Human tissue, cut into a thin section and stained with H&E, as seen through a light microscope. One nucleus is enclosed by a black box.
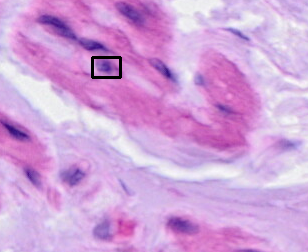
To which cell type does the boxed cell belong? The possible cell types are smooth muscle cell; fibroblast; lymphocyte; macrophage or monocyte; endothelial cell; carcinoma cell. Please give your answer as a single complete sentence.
Cell type answer for this item: the boxed cell is a smooth muscle cell.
